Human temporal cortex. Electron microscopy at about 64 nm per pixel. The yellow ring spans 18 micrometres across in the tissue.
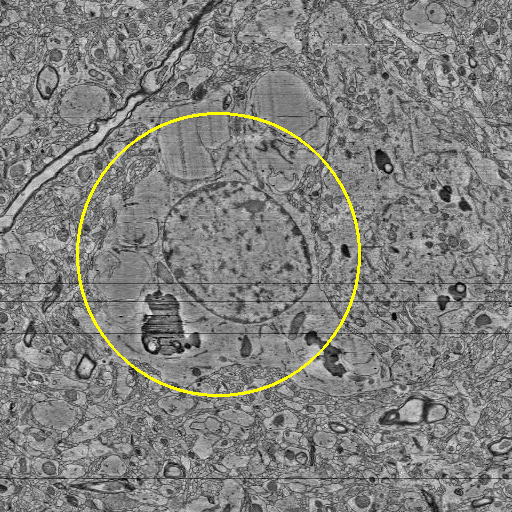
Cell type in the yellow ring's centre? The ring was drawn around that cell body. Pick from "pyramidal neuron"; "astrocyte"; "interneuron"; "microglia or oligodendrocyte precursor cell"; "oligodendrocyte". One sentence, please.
The ringed cell body is that of an astrocyte.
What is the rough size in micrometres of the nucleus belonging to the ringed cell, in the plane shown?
In this plane, roughly 10 by 9 micrometres.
